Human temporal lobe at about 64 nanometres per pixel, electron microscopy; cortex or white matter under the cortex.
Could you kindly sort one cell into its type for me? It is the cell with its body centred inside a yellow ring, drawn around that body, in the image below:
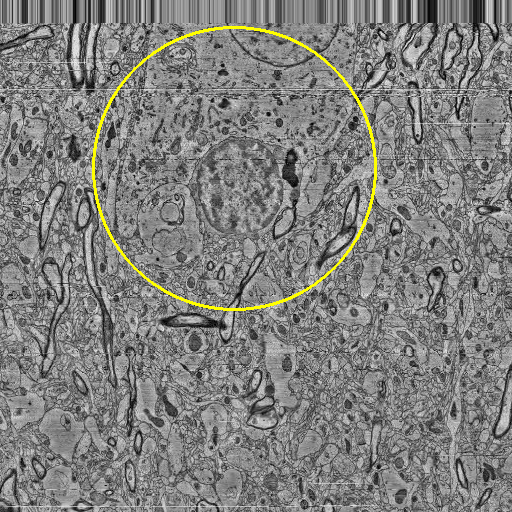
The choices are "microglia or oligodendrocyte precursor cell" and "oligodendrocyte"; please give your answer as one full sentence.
The cell whose body lies centred in the yellow ring here is an oligodendrocyte.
